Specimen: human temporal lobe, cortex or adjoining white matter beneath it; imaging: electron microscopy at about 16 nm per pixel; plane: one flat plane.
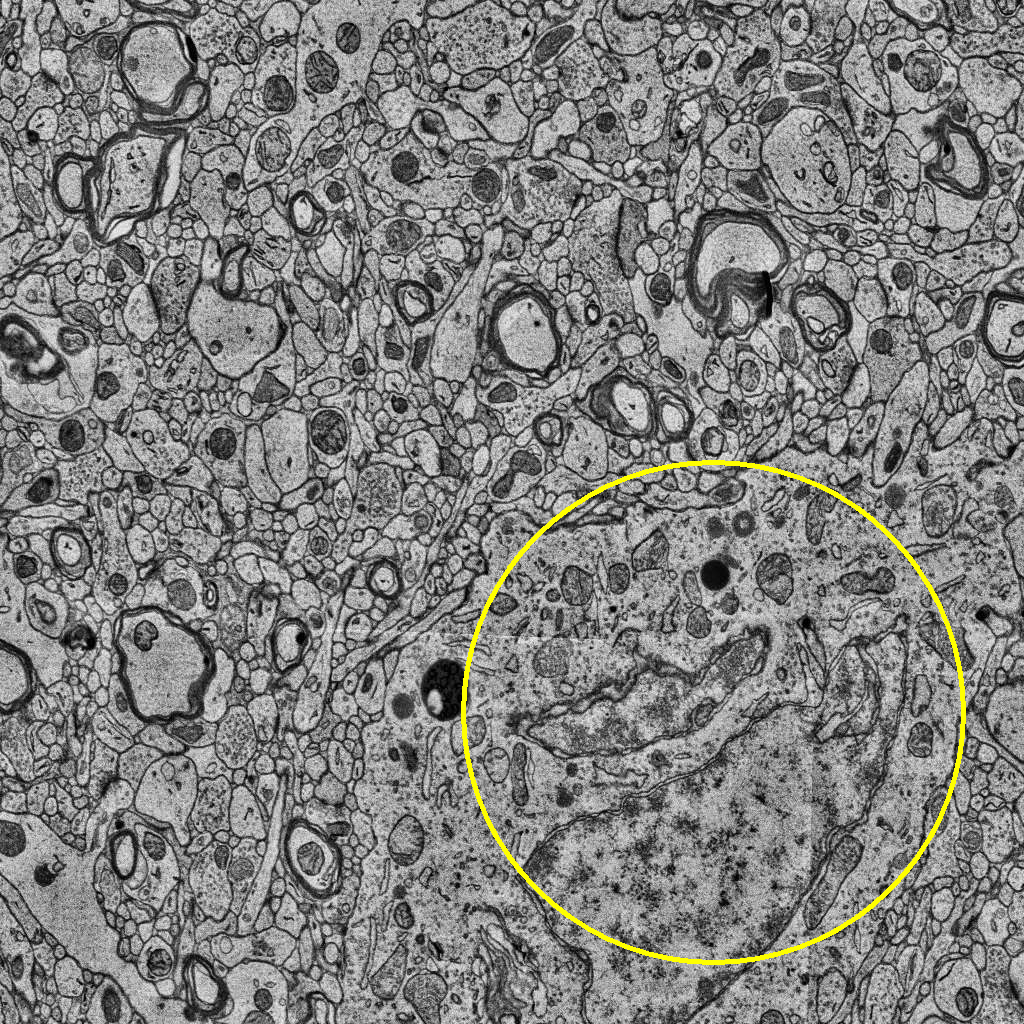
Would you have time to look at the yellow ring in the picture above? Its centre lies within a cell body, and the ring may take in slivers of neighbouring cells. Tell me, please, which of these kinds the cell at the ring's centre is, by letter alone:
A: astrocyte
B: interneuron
B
